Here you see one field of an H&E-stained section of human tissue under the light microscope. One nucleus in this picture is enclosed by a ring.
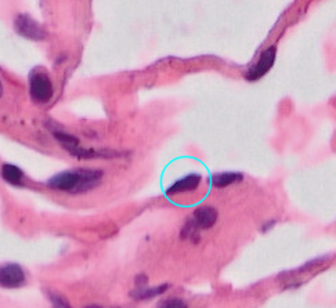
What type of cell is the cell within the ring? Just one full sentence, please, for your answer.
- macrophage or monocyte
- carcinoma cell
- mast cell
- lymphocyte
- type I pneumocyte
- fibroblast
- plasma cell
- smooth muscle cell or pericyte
The classification of the cell within the ring is as a type I pneumocyte.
